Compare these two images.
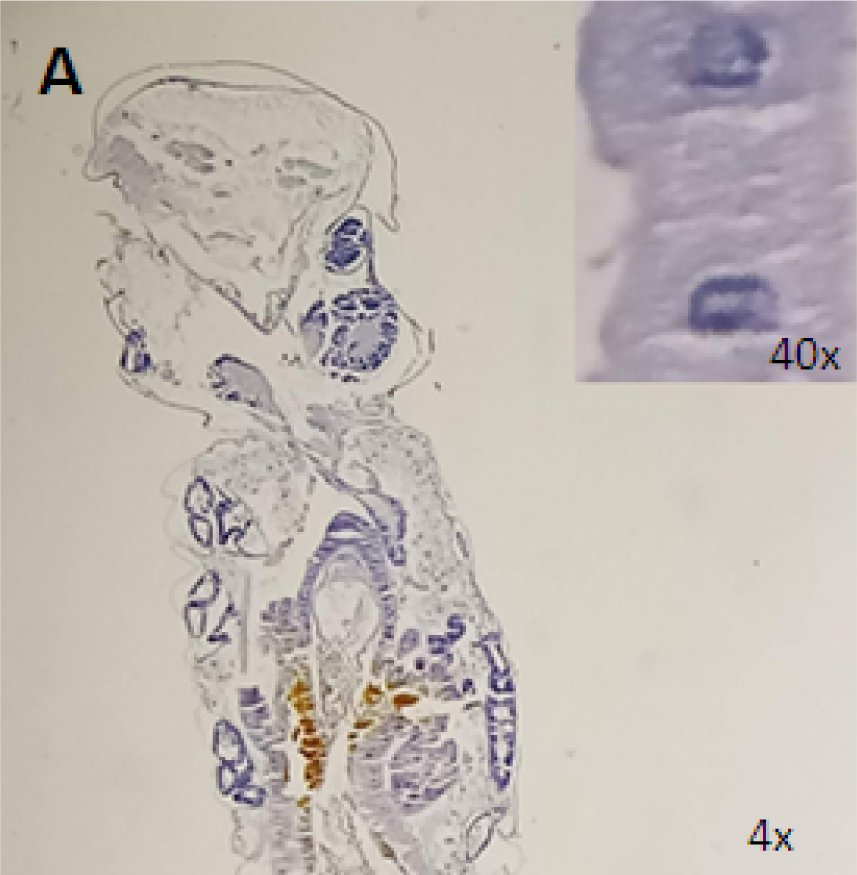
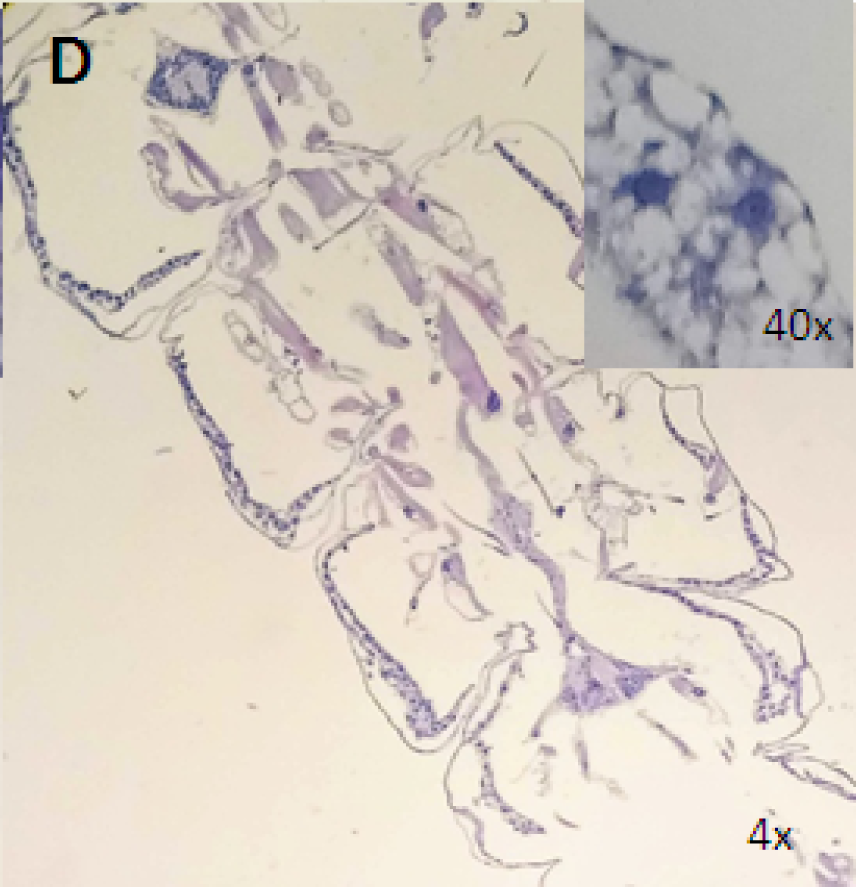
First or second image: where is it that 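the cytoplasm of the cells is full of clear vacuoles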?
the second image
